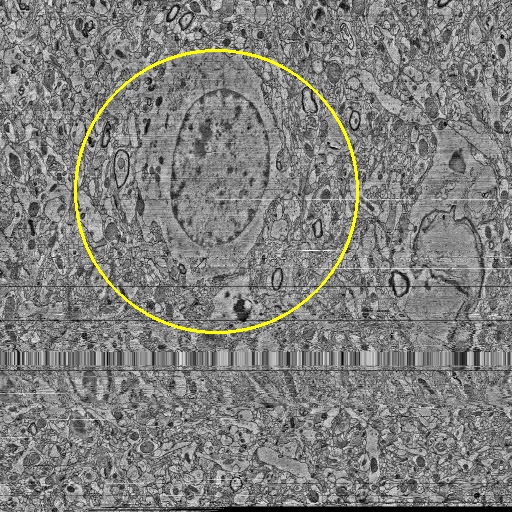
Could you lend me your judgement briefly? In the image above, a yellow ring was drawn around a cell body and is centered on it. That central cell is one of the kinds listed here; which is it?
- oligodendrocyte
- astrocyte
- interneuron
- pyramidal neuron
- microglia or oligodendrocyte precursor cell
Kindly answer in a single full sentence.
Going by the list, an astrocyte is the kind at the ring's center in the picture.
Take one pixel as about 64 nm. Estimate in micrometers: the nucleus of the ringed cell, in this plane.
Roughly 10 by 6 micrometers, clearly longer than it is wide in this plane.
